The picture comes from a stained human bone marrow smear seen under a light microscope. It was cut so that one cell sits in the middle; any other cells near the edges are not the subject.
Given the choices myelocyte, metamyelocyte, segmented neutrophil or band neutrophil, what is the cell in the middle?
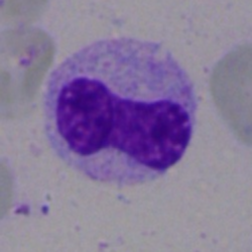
band neutrophil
